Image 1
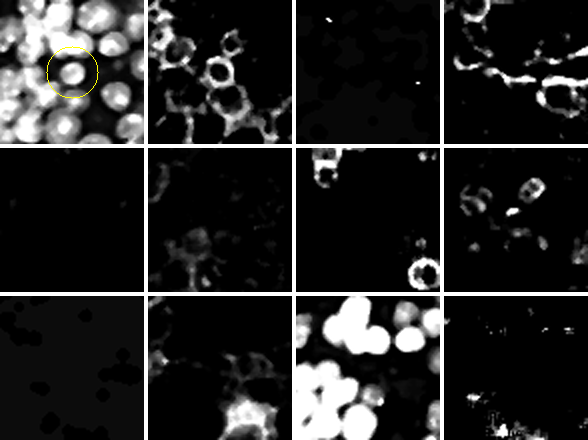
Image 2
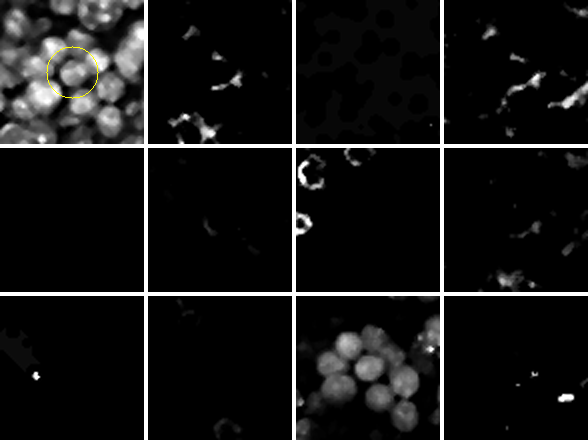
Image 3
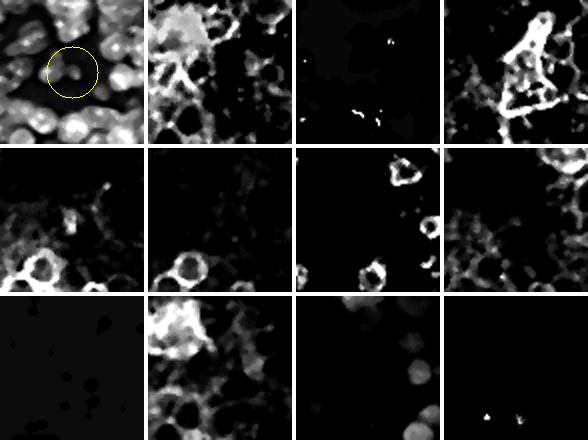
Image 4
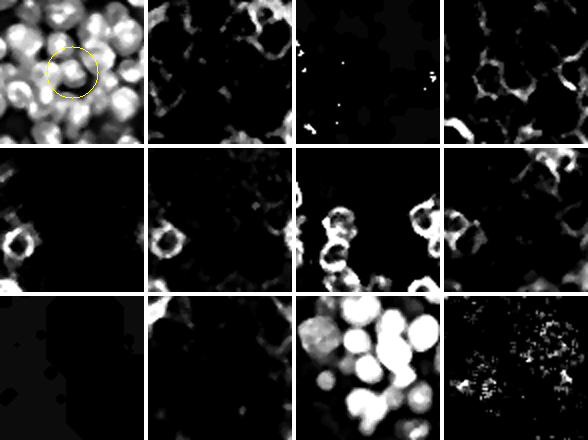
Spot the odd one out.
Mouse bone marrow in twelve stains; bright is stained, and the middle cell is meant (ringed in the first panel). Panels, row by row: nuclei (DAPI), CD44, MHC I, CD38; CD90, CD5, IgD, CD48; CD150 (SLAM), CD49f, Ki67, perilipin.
Picture 3 (a capillary endothelial cell among erythroblasts).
